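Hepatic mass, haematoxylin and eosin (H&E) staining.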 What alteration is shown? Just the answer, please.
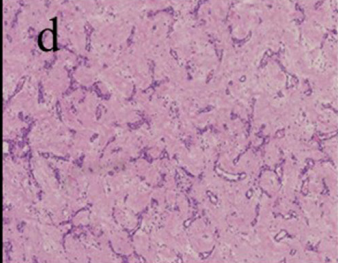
Obliterated or narrowed vascular channels.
